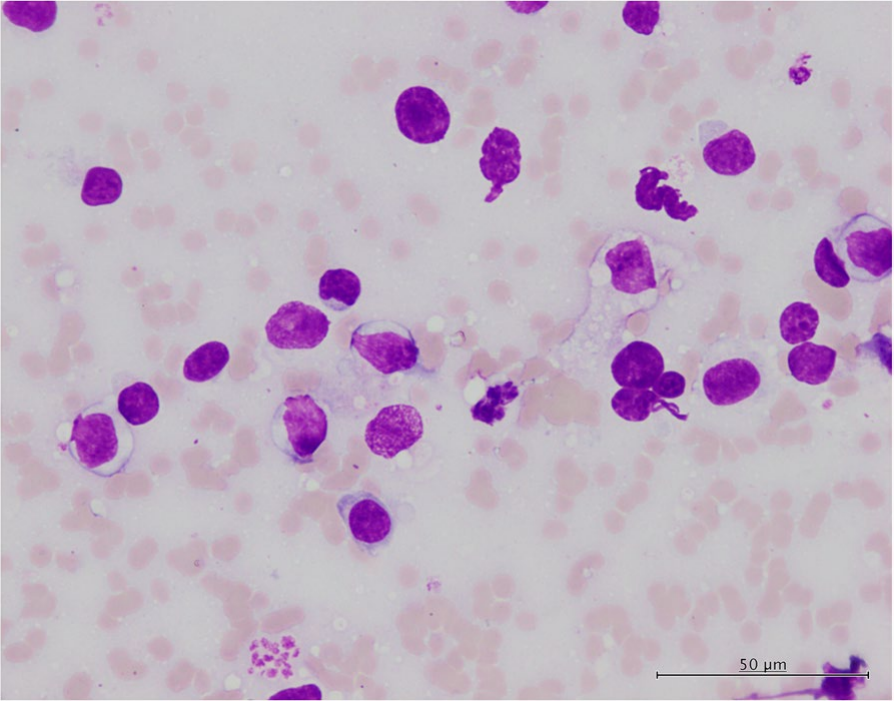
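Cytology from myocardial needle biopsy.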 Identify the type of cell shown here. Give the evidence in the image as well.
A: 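Many scattered round cells with large purple nuclei and scant cytoplasm. Several nuclei are irregular, folded or lobulated in outline. Cells lie singly among pale red blood cells. On this evidence: lymphoid cells with large dysmorphic nuclei.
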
